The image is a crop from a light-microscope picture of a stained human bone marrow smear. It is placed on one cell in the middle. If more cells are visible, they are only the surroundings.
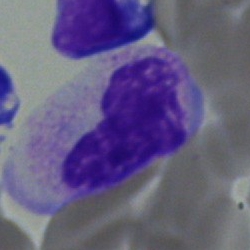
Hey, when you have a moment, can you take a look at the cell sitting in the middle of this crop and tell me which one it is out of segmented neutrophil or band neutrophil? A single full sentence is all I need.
Framed in the middle of the crop is a band neutrophil.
